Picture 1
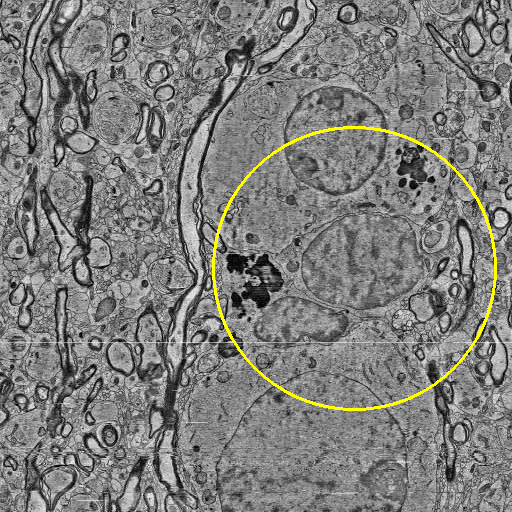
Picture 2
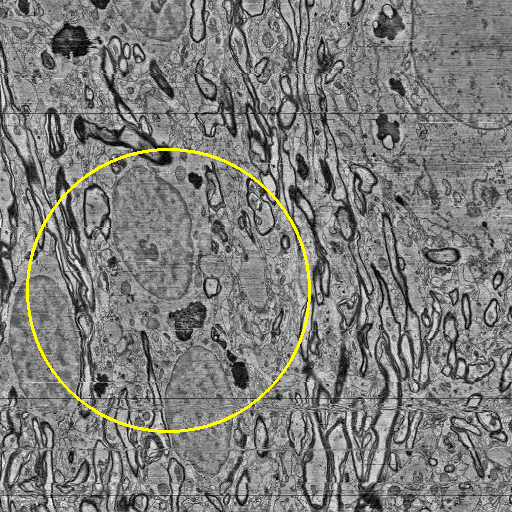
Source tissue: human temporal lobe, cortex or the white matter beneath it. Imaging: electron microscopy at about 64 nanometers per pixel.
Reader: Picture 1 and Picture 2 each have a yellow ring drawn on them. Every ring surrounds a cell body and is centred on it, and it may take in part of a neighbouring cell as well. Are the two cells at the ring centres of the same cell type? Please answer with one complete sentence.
Yes, both cells are of the same cell type.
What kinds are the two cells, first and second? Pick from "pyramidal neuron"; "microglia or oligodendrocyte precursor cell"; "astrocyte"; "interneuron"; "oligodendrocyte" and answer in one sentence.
Each cell, in the first picture and the second, is an oligodendrocyte.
